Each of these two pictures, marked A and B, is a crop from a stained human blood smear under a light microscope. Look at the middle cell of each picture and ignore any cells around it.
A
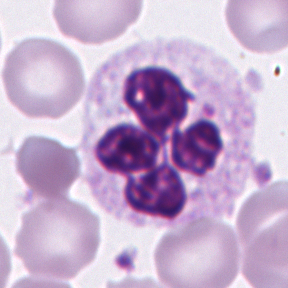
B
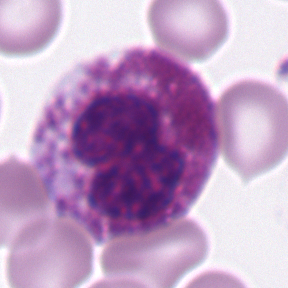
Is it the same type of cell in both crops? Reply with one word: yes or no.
no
